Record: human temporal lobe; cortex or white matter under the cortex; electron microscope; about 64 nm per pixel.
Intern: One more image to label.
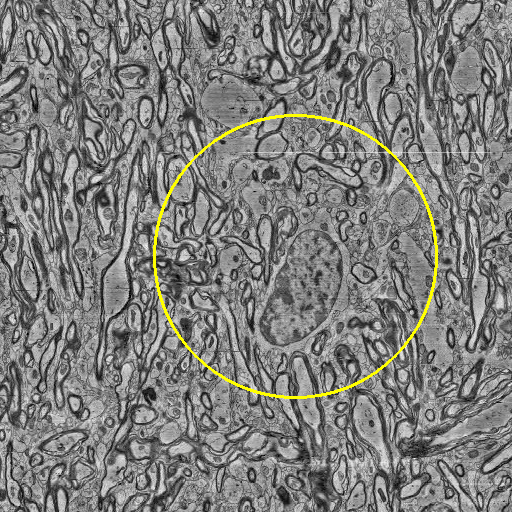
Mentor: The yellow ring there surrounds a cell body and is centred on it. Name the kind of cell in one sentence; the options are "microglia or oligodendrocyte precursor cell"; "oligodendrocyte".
The ring marks the cell body of a microglial cell or oligodendrocyte precursor cell.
